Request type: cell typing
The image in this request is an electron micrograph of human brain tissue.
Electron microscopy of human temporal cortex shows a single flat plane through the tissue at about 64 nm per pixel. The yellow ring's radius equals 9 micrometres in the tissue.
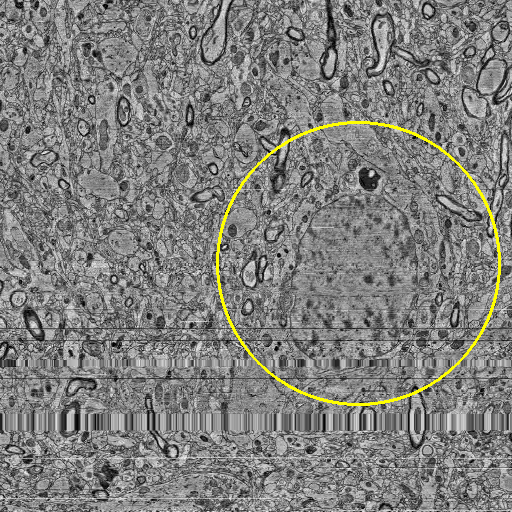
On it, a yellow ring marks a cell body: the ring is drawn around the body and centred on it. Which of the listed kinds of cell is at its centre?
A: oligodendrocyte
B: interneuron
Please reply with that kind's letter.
B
